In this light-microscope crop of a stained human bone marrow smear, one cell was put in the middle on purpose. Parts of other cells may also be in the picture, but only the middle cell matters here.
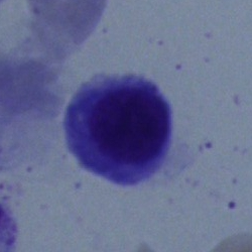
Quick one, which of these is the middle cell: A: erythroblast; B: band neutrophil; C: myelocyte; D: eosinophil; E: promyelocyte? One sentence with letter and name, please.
Option A is the correct one; it names the central cell as an erythroblast.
